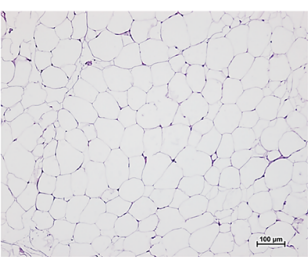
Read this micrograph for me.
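This is fat tissue made of adipocytes, seen as a honeycomb of large, pale, rounded-to-polygonal cells pressed against one another. The few nuclei are small, dark and flattened at the edges of the cells. The cells are fairly uniform and moderate in size, with thin strands between them.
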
